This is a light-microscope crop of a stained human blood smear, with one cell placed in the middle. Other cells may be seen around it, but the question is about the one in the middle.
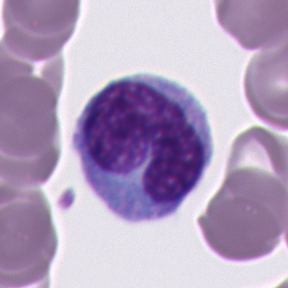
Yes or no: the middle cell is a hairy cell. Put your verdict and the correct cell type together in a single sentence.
No, the central cell is a monocyte; it should not be labelled a hairy cell.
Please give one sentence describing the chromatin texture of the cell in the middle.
Heads up, the chromatin in this one is coarsely clumped.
